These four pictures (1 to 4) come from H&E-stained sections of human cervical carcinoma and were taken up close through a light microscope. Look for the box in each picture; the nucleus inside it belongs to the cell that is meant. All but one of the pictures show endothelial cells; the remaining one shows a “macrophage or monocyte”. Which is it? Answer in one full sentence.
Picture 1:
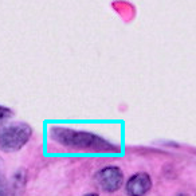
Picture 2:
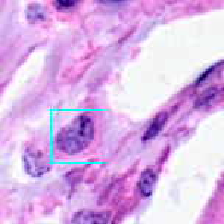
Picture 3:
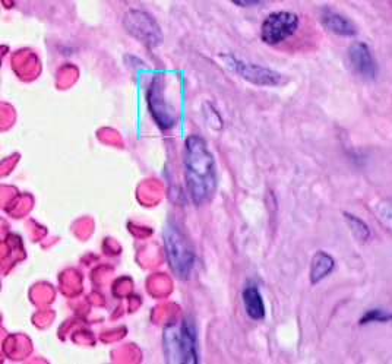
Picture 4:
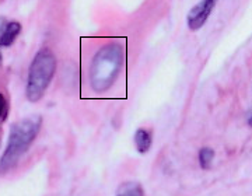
Picture 2 is the one that shows the “macrophage or monocyte”.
